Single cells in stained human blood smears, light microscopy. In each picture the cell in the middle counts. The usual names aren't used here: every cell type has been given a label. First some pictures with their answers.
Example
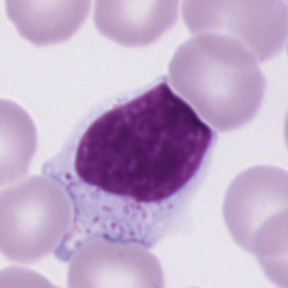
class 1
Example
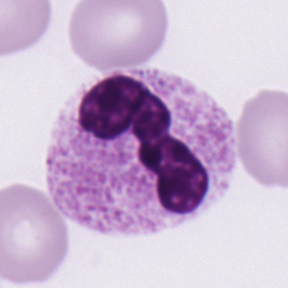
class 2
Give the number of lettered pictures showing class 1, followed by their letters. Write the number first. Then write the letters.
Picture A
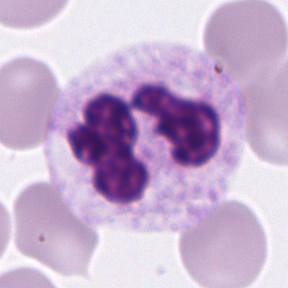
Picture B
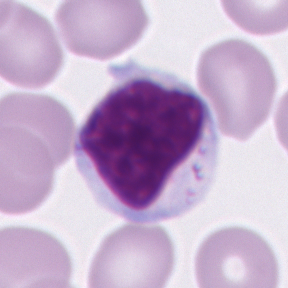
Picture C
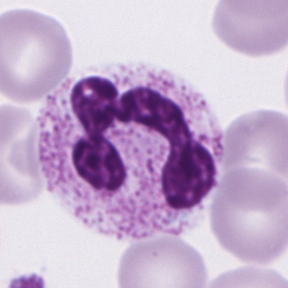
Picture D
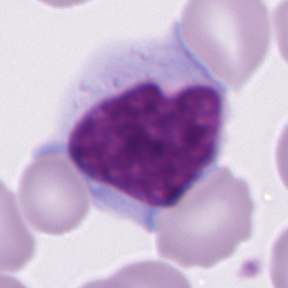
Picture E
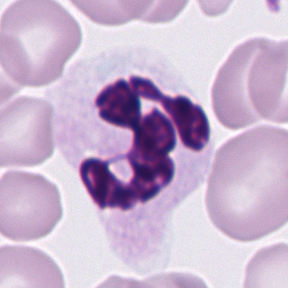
Count: 2 (B, D)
